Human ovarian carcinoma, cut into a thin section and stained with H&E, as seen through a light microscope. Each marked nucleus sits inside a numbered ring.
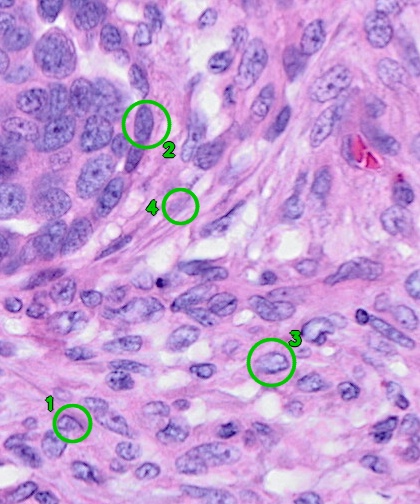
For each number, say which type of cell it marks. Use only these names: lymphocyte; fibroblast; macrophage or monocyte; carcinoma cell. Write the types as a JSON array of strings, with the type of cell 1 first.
["fibroblast", "carcinoma cell", "fibroblast", "fibroblast"]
